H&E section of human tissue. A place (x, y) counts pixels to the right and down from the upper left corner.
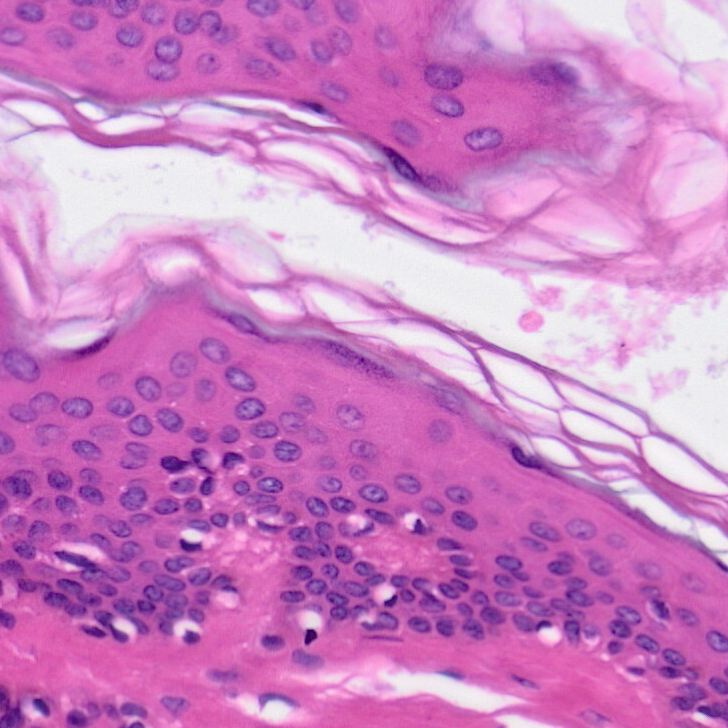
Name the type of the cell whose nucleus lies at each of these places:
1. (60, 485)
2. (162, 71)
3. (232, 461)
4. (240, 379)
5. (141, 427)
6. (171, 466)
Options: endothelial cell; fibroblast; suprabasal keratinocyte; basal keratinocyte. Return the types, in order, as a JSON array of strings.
["suprabasal keratinocyte", "suprabasal keratinocyte", "basal keratinocyte", "suprabasal keratinocyte", "suprabasal keratinocyte", "basal keratinocyte"]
